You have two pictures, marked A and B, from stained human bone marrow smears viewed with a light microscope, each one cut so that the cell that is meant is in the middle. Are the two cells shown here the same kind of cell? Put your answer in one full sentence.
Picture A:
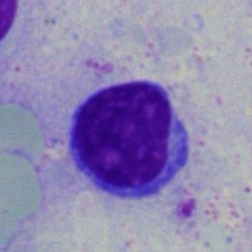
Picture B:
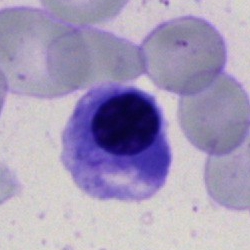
No, they differ: the cell is a lymphocyte in picture A and an erythroblast in picture B.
